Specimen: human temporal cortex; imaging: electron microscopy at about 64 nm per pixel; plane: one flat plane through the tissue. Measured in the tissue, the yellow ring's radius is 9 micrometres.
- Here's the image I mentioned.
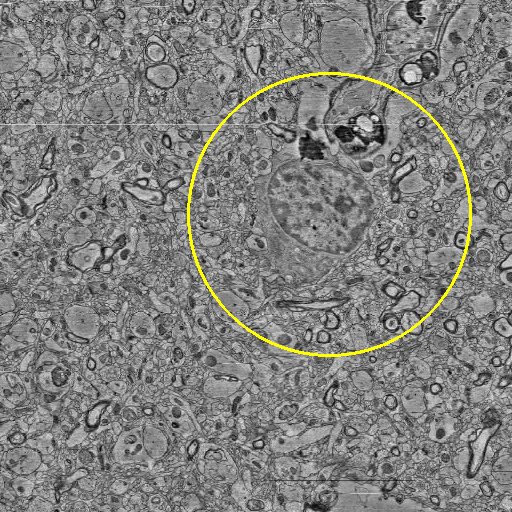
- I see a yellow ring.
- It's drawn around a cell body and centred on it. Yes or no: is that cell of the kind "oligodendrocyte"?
yes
